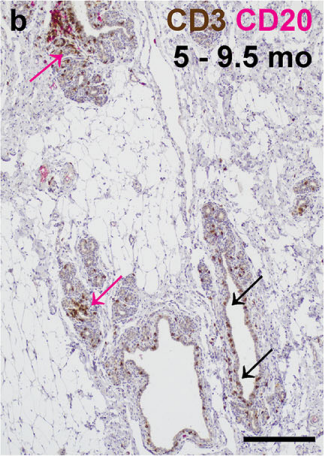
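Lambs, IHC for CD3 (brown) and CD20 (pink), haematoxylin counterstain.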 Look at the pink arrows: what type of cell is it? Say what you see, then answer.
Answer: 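Clusters of small brown-stained round cells lie beside ducts. The clusters sit outside the duct lumen in the surrounding tissue. So: stromal T lymphocytes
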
